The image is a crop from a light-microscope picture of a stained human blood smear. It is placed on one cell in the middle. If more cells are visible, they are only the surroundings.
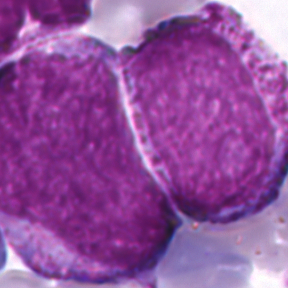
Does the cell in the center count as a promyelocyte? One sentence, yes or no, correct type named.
Yes, centred in the crop is a promyelocyte.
